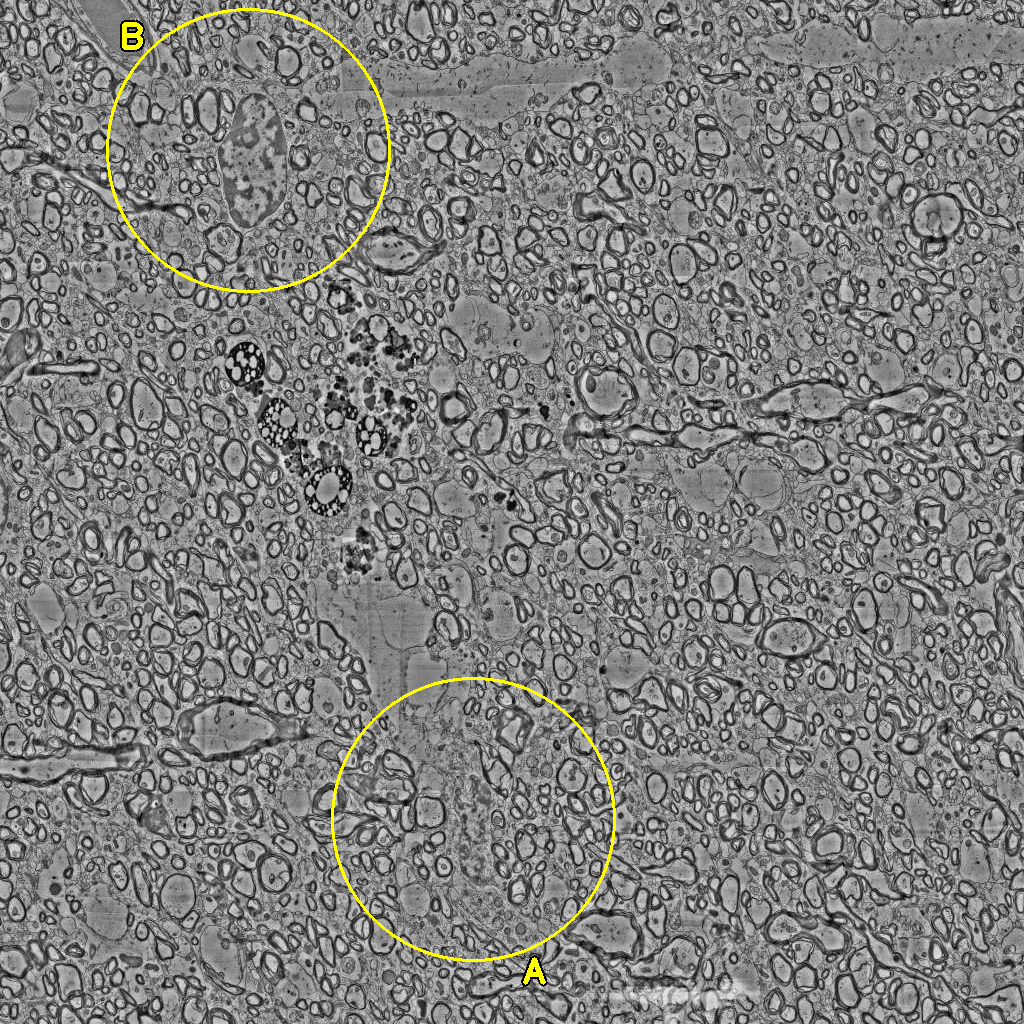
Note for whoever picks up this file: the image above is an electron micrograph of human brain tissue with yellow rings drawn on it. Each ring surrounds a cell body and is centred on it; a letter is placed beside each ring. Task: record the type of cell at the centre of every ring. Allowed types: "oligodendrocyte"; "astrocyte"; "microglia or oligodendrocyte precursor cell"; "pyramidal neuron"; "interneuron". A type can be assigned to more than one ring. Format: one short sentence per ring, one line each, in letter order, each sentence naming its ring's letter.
The ring marked A is centred on an astrocyte.
The ring marked B is centred on a microglial cell or oligodendrocyte precursor cell.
